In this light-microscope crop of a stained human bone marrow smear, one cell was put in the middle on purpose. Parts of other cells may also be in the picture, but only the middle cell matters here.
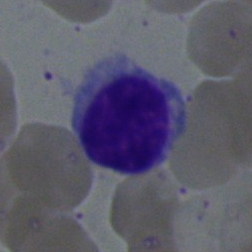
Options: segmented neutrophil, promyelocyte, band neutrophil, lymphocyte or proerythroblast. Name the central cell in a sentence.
The crop shows a lymphocyte in its centre.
